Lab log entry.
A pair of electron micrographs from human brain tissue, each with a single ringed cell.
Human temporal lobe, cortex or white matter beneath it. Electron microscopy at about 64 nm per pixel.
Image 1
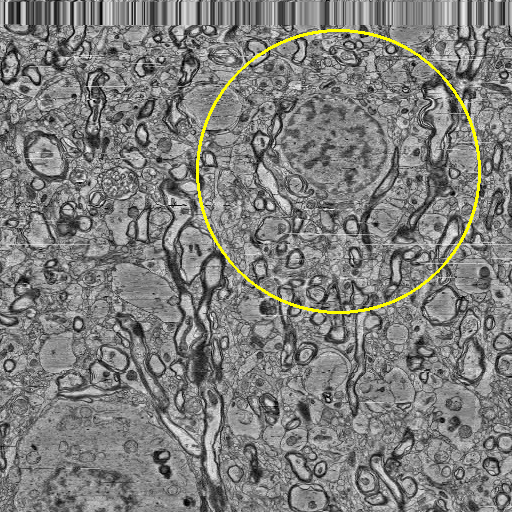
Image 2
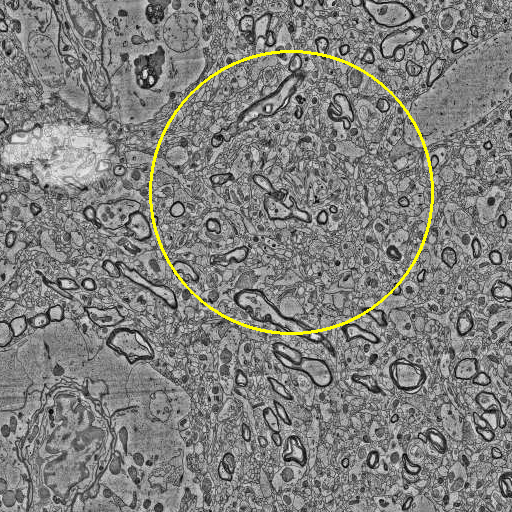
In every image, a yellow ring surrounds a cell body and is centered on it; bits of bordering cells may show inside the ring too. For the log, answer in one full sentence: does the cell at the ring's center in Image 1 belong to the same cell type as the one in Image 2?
Yes, the cells at the ring centers in Image 1 and Image 2 share one type.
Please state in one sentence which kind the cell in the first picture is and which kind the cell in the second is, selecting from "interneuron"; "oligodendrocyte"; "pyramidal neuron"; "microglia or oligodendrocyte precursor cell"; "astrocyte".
The cell in the first picture is an oligodendrocyte, and so is the one in the second.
